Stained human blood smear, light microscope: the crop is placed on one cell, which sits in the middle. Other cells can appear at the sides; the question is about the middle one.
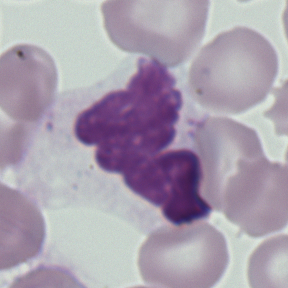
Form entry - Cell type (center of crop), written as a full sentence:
The middle cell in this particular crop is a neutrophil.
